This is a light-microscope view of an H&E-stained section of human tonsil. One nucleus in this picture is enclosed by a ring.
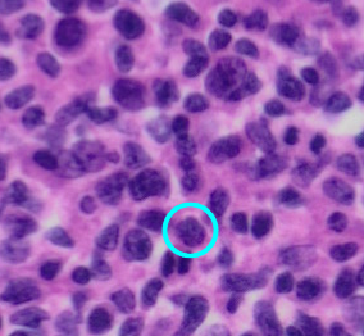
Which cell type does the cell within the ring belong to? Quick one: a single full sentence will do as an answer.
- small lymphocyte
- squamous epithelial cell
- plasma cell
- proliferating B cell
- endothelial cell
The correct response here is that the cell within the ring is a proliferating B cell.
